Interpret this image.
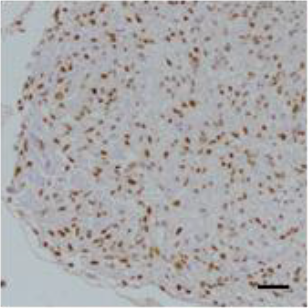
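Many nuclei are stained brown, while others are only blue, and the brown stain is confined to the nuclei rather than the cytoplasm. The cells lie in a loose, fibrillar background without any layered organisation.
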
